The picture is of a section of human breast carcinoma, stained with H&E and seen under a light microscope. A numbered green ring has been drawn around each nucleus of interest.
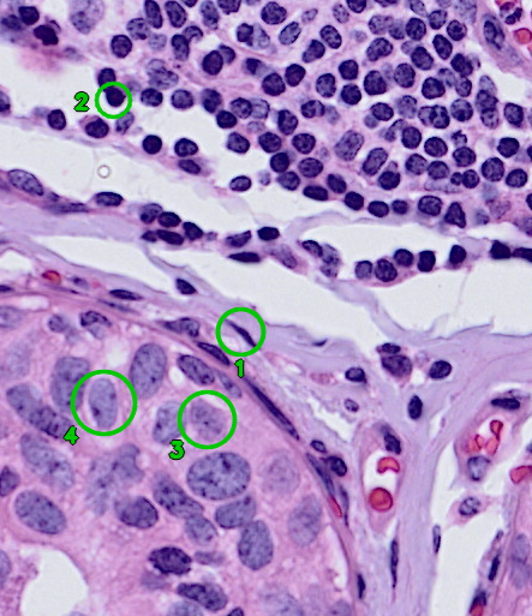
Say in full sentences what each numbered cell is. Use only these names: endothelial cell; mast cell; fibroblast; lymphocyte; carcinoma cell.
Cell 1 is a fibroblast, cell 2 is a lymphocyte, cell 3 is a carcinoma cell and cell 4 is a carcinoma cell.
